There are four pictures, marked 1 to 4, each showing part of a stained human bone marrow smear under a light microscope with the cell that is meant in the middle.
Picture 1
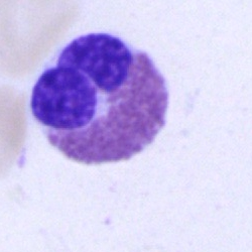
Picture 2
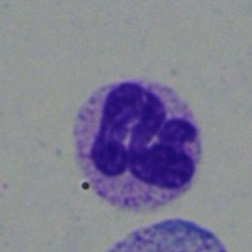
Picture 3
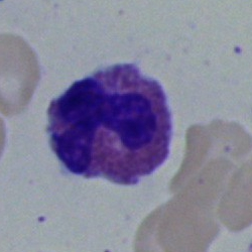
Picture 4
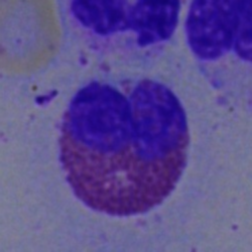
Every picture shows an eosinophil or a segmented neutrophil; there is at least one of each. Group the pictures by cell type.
1: eosinophil
2: segmented neutrophil
3: eosinophil
4: eosinophil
